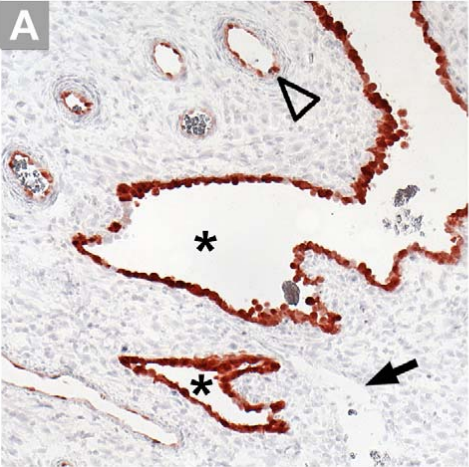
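The glands are irregular open spaces lined by a single layer of epithelial cells, and these lining cells are stained a strong red-brown. Between the glands lies the stroma, made of many rounded to oval cells with pale blue nuclei and no brown colour. In the upper part, several small round arteries with thick walls of concentric cells are cut across; the thin innermost lining of some of them also shows red-brown staining, while their walls stay pale.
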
